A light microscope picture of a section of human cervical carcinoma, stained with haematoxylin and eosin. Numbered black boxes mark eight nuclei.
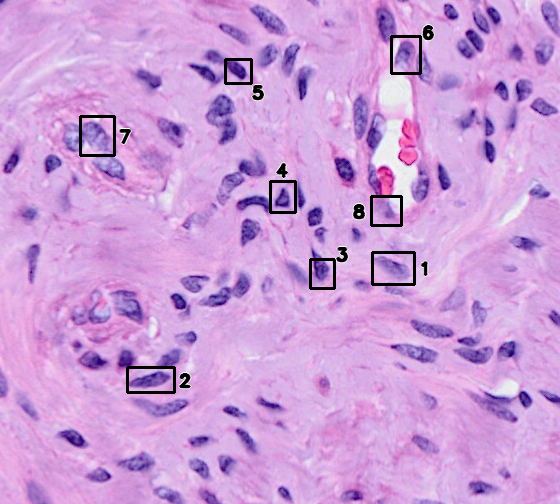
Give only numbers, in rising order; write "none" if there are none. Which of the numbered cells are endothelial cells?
6, 7, 8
